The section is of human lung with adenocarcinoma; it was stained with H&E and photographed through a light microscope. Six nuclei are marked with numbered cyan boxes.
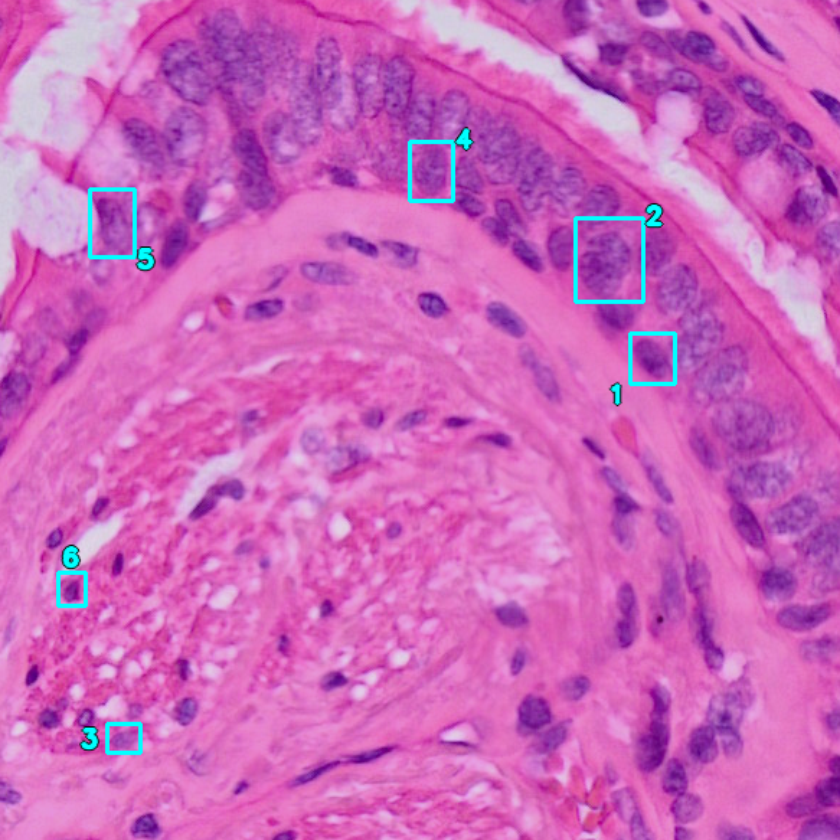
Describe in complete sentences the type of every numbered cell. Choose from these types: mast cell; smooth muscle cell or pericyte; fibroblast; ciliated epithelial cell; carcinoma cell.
Cell 1 is a ciliated epithelial cell, cell 2 is a ciliated epithelial cell, cell 3 is a smooth muscle cell or pericyte, cell 4 is a ciliated epithelial cell, cell 5 is a ciliated epithelial cell and cell 6 is a smooth muscle cell or pericyte.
